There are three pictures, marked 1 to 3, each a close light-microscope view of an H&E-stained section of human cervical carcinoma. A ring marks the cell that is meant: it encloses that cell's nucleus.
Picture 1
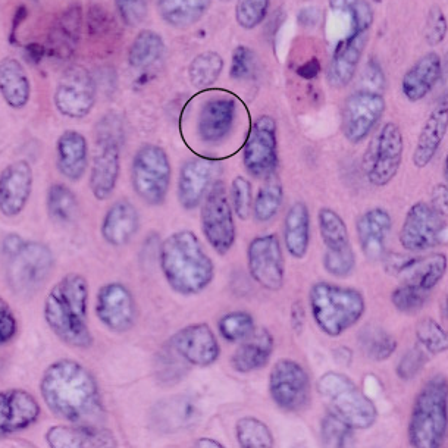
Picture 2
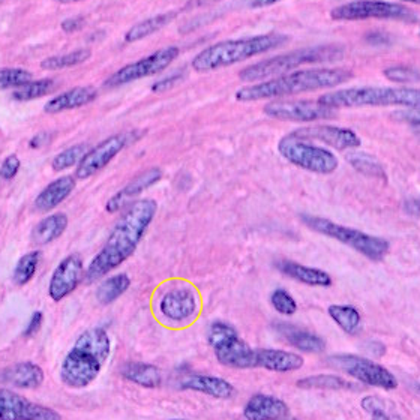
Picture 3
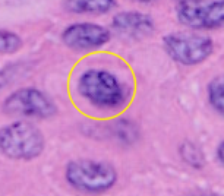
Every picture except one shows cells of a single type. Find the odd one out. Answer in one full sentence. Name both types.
All pictures except 2 show squamous carcinoma cells; picture 2 shows a smooth muscle cell.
